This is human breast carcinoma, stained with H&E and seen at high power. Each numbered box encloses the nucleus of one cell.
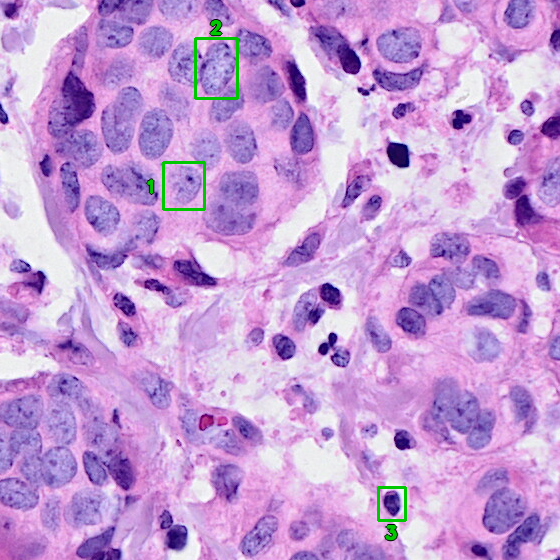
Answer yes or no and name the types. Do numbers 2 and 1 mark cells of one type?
Yes, cells 2 and 1 are both termed carcinoma cells.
